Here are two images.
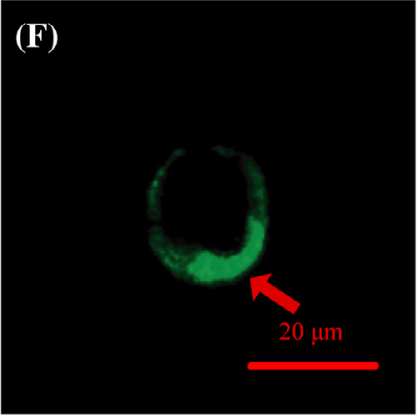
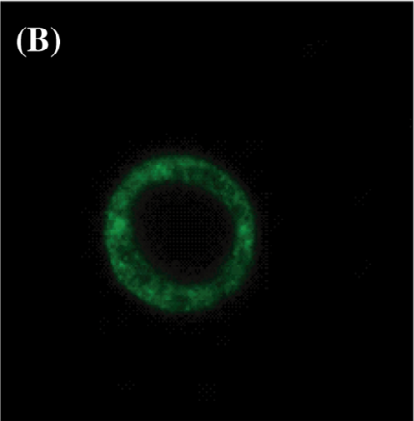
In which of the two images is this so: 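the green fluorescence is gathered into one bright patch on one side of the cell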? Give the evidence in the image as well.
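First image: a thick bright green crescent on the lower side, the rest of the rim thin. Second image: an even green ring of similar brightness all around the cell. On this evidence: the first image.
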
